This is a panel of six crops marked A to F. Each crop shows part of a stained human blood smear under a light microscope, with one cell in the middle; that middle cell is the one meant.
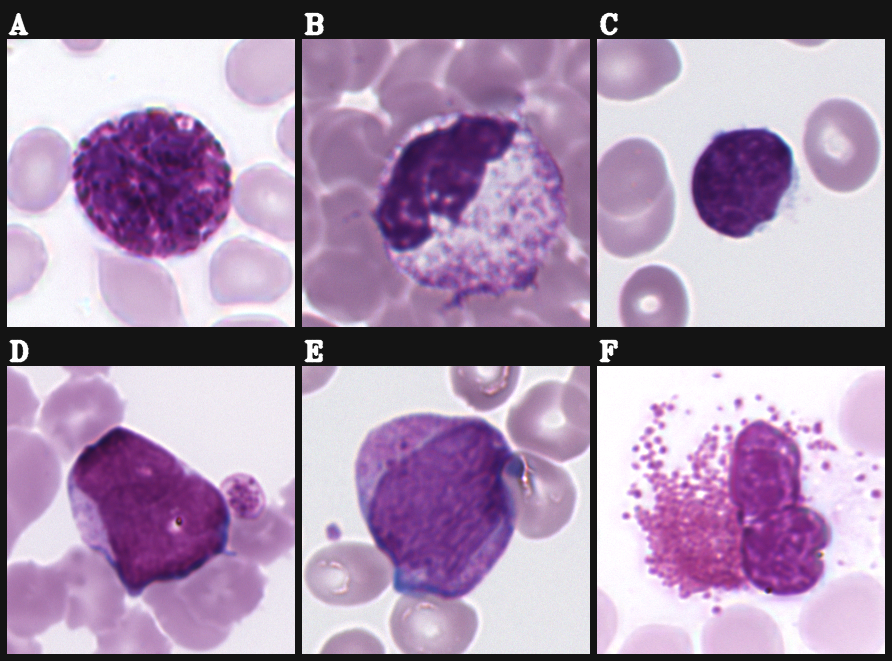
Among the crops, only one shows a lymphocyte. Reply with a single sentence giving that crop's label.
Crop C is the crop containing a lymphocyte.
